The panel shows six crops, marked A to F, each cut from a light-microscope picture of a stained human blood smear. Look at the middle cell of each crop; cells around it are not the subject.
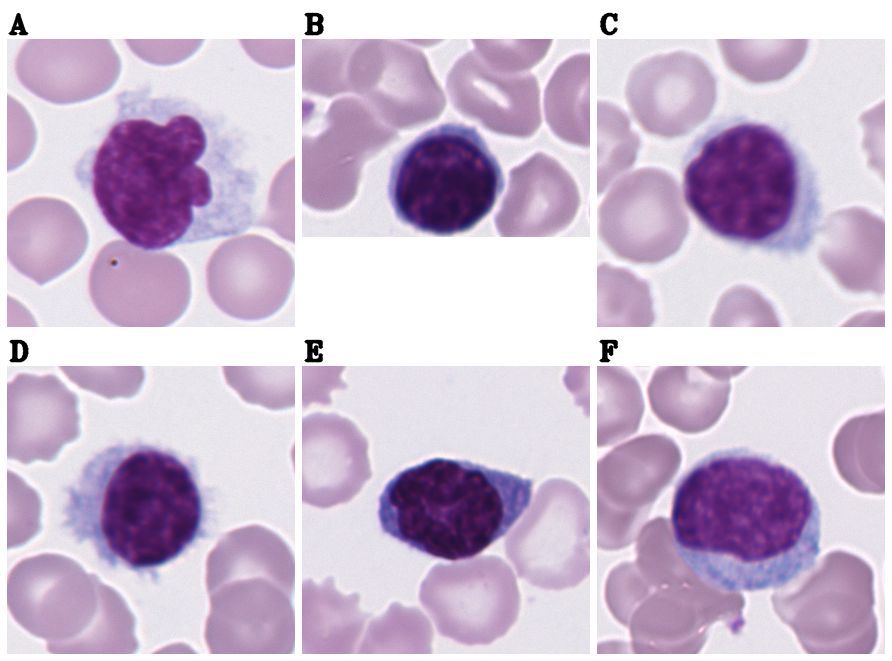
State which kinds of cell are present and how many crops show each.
hairy cell: 3
typical lymphocyte: 3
